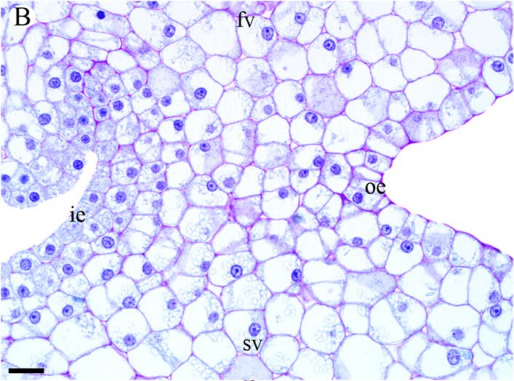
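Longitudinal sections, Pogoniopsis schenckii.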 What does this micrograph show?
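Parenchyma of the fertile and sterile valve of an ovary wall, with no separating line between them. Cells are isodiametric to polygonal, thin-walled, with purple-stained walls and largely clear vacuolated cytoplasm. Most cells hold one rounded, centrally or parietally placed nucleus with a dark, prominent nucleolus. Small, densely cytoplasmic cells line the notch on the inner side, forming the inner epidermis, while a single layer of smaller cells borders the outer indentation as the outer epidermis. Cell size increases from the epidermal edges toward the interior; no compressed or differently shaped cell row runs between the two valves.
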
